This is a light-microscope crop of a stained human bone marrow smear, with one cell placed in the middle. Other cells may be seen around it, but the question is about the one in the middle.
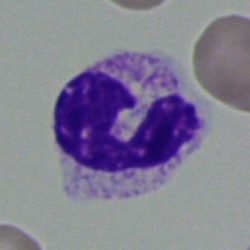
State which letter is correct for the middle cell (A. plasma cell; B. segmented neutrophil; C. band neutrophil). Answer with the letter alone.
C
